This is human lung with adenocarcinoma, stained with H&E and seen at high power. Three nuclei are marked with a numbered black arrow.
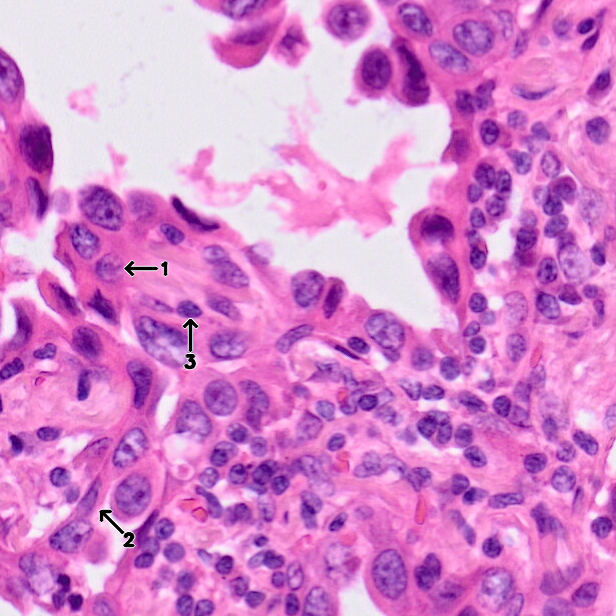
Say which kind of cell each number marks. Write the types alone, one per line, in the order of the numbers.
carcinoma cell
carcinoma cell
lymphocyte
